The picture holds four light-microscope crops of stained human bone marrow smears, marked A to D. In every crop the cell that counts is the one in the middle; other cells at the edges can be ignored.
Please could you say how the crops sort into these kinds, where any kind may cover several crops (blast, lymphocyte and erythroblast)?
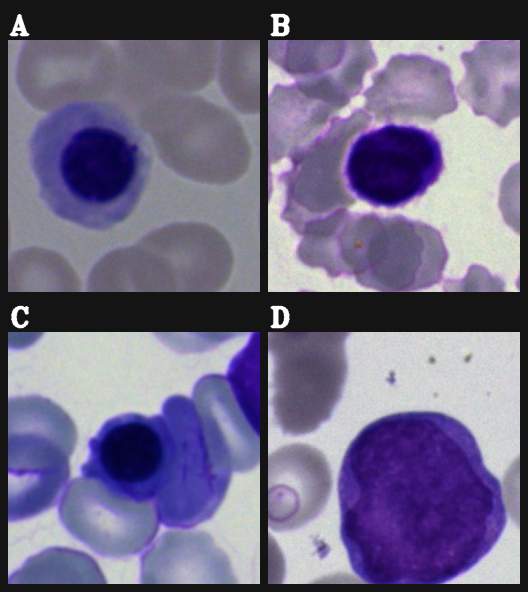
A: erythroblast
B: lymphocyte
C: erythroblast
D: blast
